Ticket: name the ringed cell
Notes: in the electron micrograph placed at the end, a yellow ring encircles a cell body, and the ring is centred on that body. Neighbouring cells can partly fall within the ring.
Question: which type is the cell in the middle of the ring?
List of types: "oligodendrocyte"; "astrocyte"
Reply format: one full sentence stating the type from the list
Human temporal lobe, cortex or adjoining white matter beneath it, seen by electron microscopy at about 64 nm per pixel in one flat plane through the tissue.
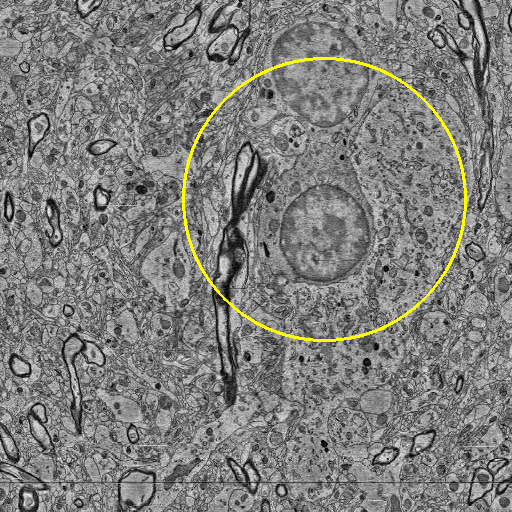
The cell sitting at the centre of the yellow ring is an oligodendrocyte.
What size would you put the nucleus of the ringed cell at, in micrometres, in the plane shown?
The nucleus is approximately 6 micrometers across in this plane.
